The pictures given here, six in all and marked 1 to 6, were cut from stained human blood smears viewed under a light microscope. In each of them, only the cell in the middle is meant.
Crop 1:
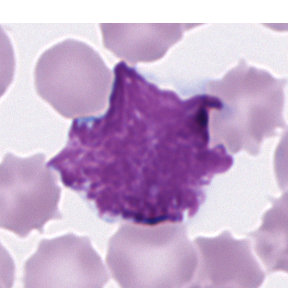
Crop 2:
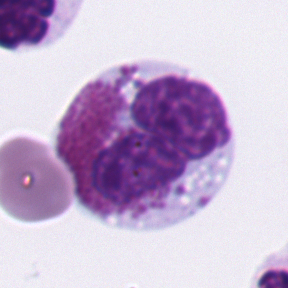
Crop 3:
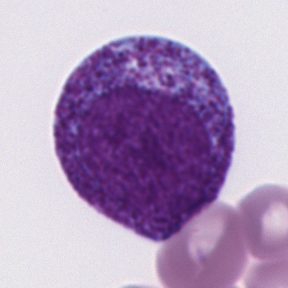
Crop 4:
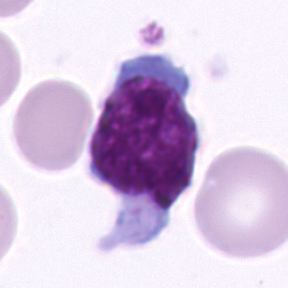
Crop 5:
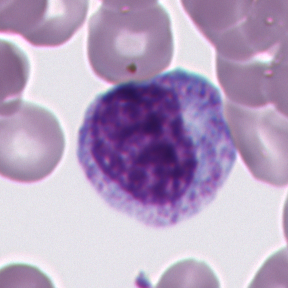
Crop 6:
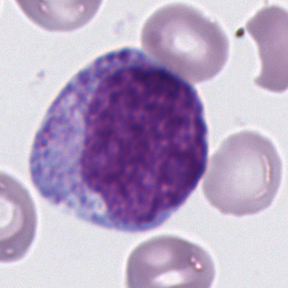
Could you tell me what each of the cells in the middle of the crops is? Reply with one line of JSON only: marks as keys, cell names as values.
{"1": "smudge cell", "2": "eosinophil", "3": "promyelocyte", "4": "plasma cell", "5": "metamyelocyte", "6": "promyelocyte"}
